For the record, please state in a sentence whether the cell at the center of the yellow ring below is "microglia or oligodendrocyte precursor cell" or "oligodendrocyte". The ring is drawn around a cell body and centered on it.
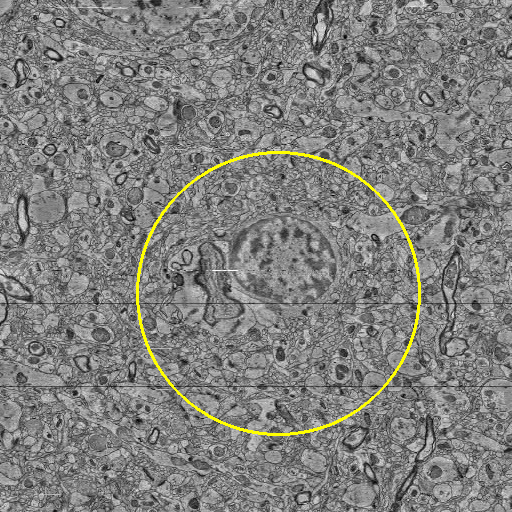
The cell at the ring's center is an oligodendrocyte.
